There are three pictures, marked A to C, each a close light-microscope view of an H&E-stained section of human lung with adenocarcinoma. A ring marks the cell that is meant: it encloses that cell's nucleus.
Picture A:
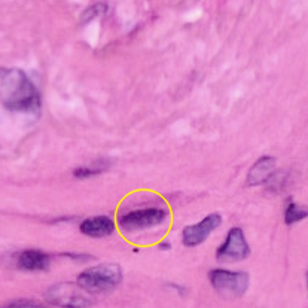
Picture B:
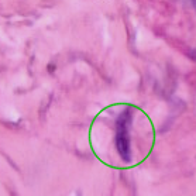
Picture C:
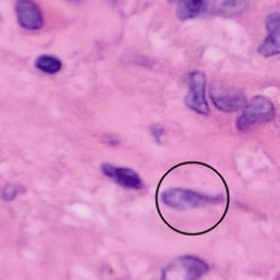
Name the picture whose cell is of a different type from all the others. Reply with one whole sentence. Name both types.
Picture A is the odd one out: it shows a plasma cell, while the others show fibroblasts.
